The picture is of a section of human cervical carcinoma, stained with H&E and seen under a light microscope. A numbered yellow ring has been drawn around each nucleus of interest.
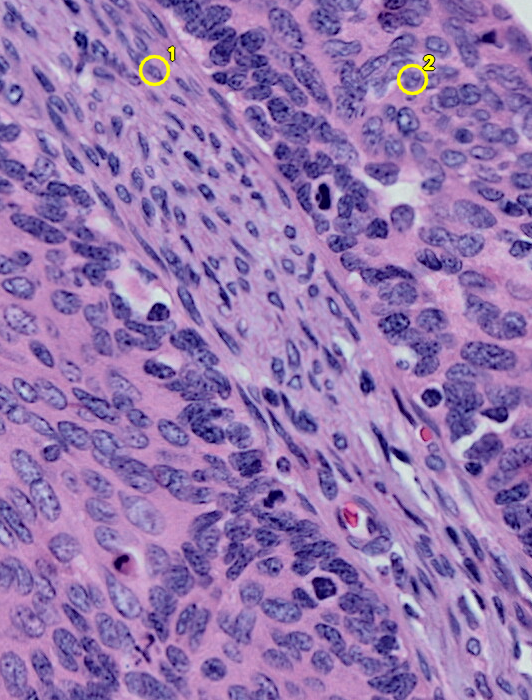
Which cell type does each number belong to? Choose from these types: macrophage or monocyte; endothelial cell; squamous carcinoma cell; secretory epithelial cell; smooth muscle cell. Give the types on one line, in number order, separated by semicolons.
smooth muscle cell; squamous carcinoma cell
